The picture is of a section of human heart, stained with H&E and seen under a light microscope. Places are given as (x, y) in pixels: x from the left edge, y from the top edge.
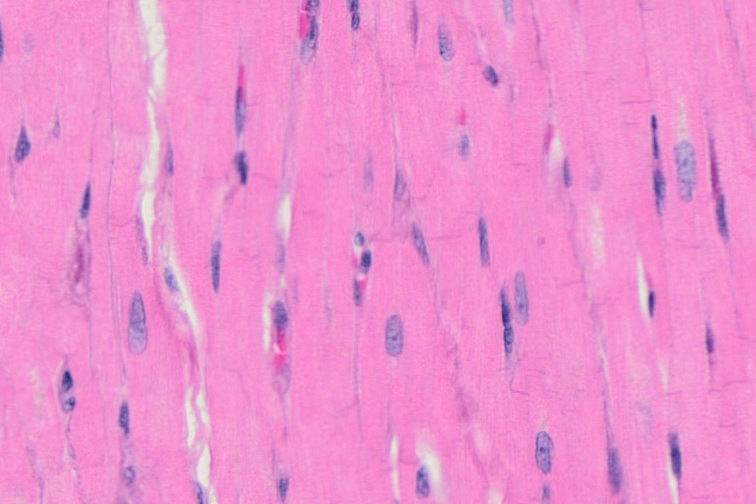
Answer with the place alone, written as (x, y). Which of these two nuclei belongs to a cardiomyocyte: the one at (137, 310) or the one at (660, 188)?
(137, 310)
